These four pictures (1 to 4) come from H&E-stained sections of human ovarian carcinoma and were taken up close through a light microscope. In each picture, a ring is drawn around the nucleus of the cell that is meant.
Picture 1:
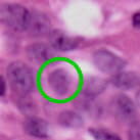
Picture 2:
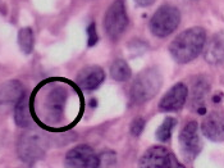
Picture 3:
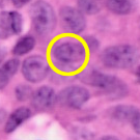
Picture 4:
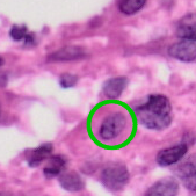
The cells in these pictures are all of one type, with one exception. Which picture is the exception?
4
